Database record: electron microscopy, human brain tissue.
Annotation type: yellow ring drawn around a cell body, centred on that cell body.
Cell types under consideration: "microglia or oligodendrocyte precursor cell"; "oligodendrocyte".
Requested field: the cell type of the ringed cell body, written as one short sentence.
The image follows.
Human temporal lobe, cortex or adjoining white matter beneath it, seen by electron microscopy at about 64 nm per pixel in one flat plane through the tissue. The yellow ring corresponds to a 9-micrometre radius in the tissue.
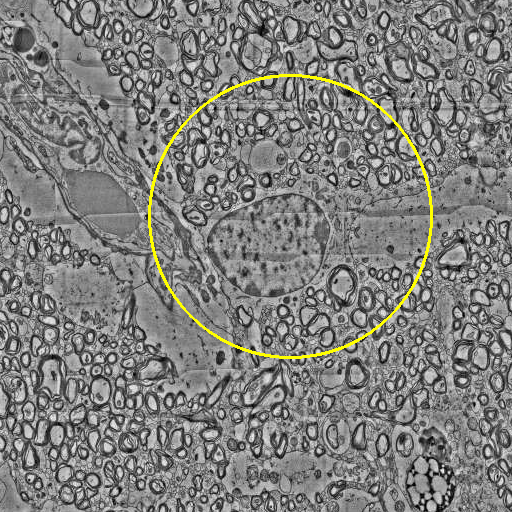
The ringed cell body represents a microglial cell or oligodendrocyte precursor cell.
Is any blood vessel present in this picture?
Yes, a vessel appears in the picture.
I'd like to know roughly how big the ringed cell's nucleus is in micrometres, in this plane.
Approximately 8 micrometres long and 6 micrometres wide, in this plane.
